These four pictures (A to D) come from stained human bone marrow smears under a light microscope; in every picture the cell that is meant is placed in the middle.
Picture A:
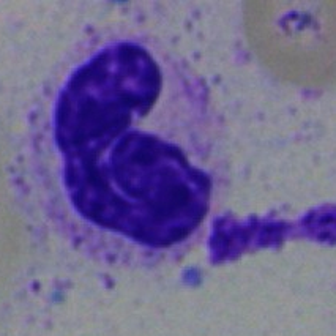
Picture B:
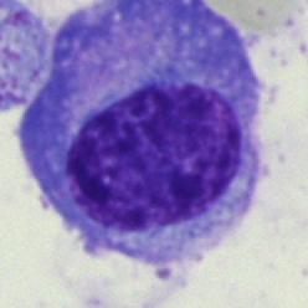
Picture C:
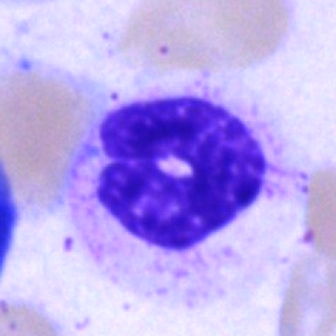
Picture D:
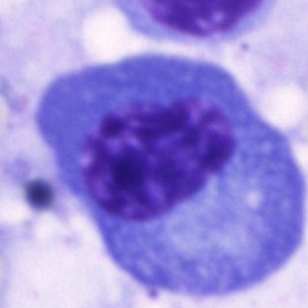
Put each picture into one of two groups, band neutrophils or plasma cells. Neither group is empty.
A: band neutrophil
B: plasma cell
C: band neutrophil
D: plasma cell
